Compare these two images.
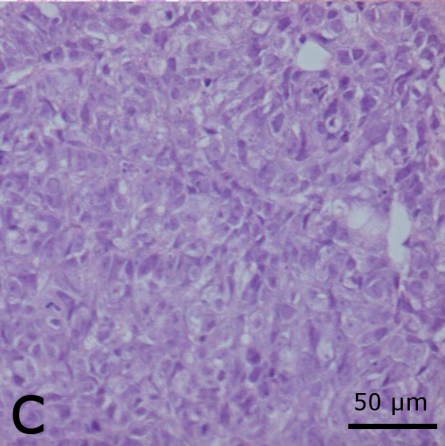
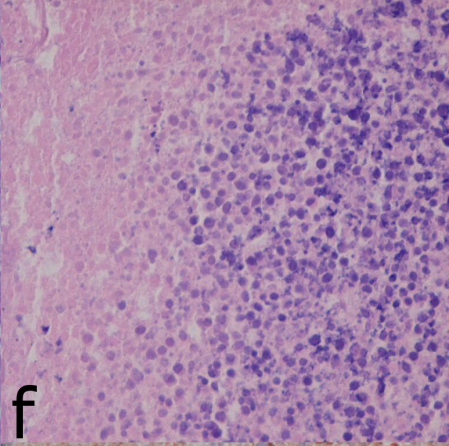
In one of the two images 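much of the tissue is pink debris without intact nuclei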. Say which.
the second image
